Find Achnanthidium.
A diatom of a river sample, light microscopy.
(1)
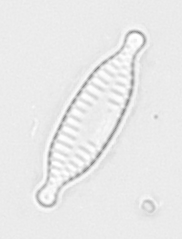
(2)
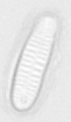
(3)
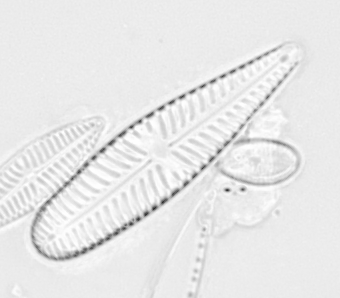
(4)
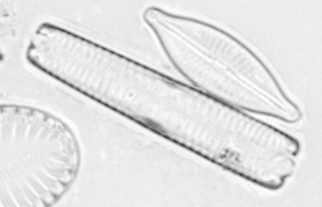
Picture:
2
